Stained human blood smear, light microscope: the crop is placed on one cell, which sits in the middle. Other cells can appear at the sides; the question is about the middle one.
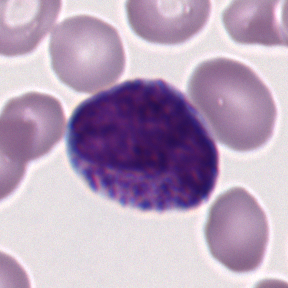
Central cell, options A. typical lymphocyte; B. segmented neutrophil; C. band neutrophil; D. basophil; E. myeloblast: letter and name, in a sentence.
The centered cell is a basophil, which is why option D is right.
